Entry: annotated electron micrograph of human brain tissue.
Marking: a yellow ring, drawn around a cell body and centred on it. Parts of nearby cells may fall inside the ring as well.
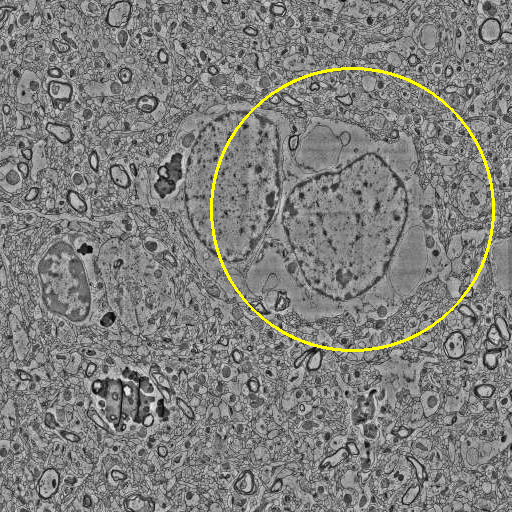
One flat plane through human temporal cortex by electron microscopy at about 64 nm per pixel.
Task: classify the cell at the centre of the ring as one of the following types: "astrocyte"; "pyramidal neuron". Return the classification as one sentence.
The marked cell is classified as an astrocyte.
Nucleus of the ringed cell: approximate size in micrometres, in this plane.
In this plane, the nucleus is roughly 10 by 8 micrometres.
